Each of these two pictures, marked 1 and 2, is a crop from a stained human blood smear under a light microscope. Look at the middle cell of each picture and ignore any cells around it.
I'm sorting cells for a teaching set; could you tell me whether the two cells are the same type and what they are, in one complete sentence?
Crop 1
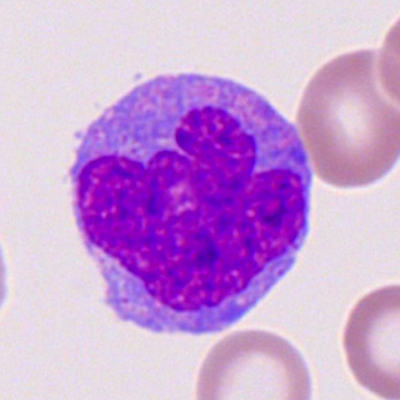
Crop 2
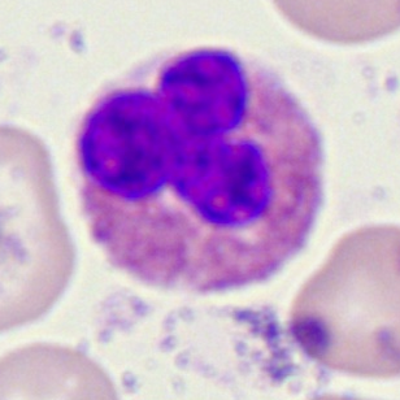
No, on this set crop 1 shows a monocyte and crop 2 shows an eosinophil.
